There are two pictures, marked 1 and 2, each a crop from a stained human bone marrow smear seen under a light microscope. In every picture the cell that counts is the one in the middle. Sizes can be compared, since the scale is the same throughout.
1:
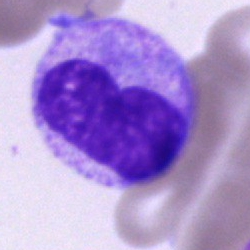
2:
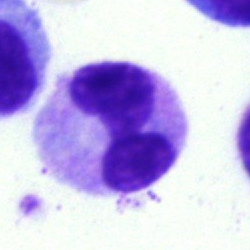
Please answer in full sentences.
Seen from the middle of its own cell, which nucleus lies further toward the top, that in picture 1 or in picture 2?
Seen within its cell, the nucleus in picture 2 lies further toward the top.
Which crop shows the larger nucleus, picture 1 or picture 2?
It is the nucleus in picture 1, about 1.5 times as large in area as the one in picture 2.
